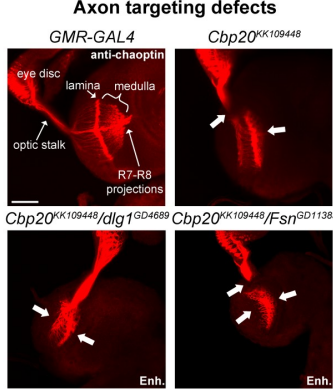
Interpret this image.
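In the top-left image, the projections into the medulla form an even, ordered row of parallel fibres. In the other three images, the projections in the lobe are irregular, bunched and gapped, and white arrows mark these faults.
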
